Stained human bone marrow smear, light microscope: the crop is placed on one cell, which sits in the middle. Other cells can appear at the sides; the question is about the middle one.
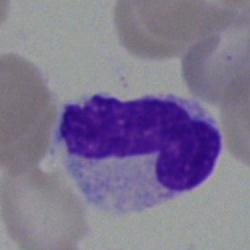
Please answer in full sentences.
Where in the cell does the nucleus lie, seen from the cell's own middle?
The nucleus sits off-centre, toward the upper right.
